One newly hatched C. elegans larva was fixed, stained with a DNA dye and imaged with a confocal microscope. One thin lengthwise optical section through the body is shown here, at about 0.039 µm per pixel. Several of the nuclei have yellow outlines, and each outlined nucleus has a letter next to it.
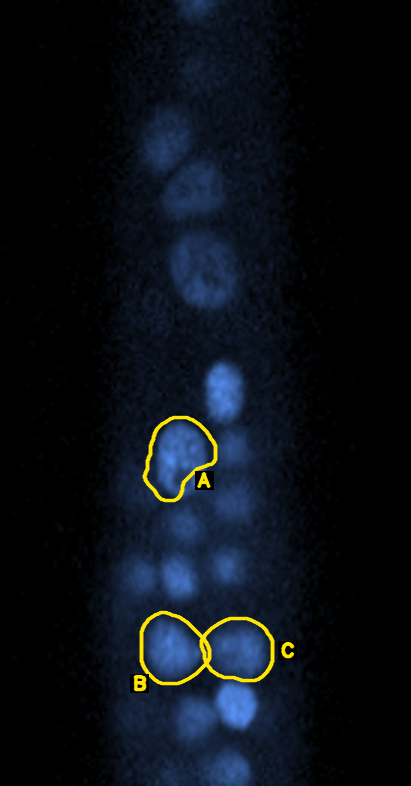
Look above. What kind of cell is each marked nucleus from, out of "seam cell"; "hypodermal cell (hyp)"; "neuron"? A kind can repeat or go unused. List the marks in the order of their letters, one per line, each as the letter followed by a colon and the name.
A: seam cell
B: neuron
C: neuron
